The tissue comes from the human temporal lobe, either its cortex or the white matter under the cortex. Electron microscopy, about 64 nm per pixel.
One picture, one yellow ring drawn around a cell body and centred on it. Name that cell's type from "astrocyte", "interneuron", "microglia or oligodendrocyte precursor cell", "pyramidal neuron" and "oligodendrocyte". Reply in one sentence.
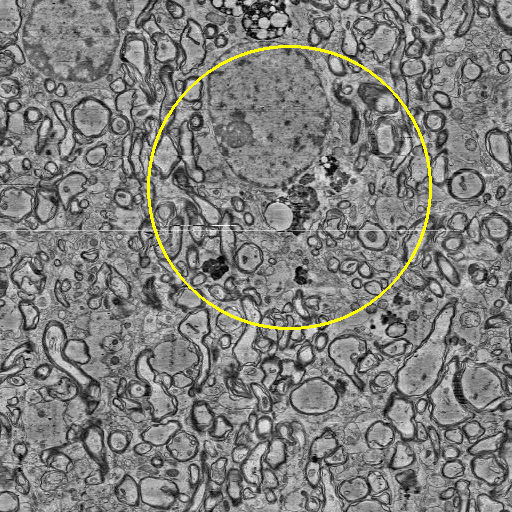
Centred in the ring is an astrocyte.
